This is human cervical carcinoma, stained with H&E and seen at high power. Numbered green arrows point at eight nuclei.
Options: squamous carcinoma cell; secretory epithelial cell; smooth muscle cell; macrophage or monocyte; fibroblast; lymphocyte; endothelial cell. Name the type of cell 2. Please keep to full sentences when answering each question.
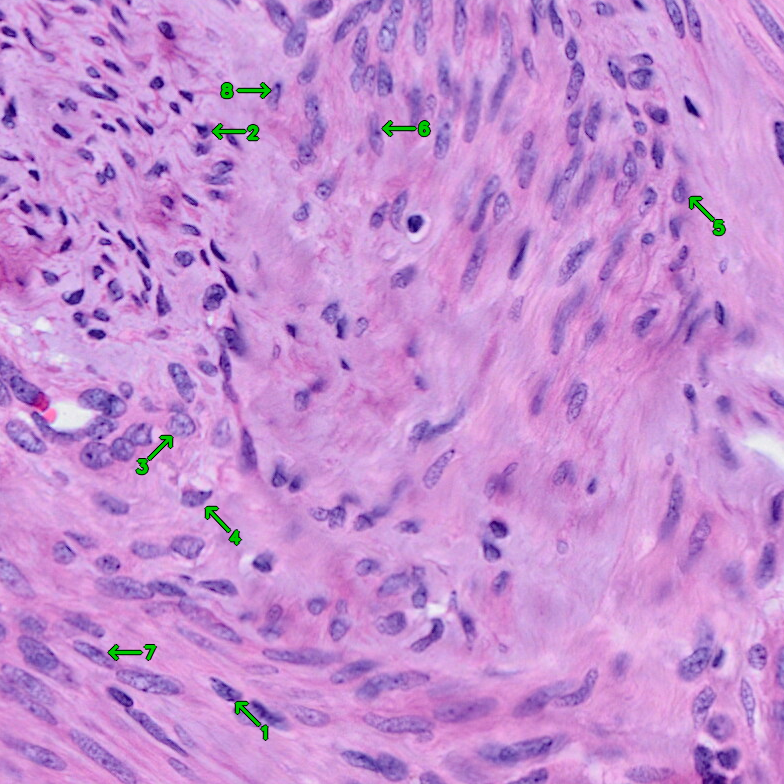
Here the cell numbered 2 is a smooth muscle cell.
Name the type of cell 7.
The cell referred to as 7 is a smooth muscle cell.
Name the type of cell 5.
Here the cell numbered 5 is a smooth muscle cell.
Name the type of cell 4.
To a fibroblast belongs the nucleus marked 4.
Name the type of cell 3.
In this section, number 3 marks an endothelial cell.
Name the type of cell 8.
The one labeled 8 is a smooth muscle cell, to put it simply.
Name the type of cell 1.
The cell identified by number 1 is a lymphocyte.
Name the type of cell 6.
The cell identified by the number 6 is a smooth muscle cell.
